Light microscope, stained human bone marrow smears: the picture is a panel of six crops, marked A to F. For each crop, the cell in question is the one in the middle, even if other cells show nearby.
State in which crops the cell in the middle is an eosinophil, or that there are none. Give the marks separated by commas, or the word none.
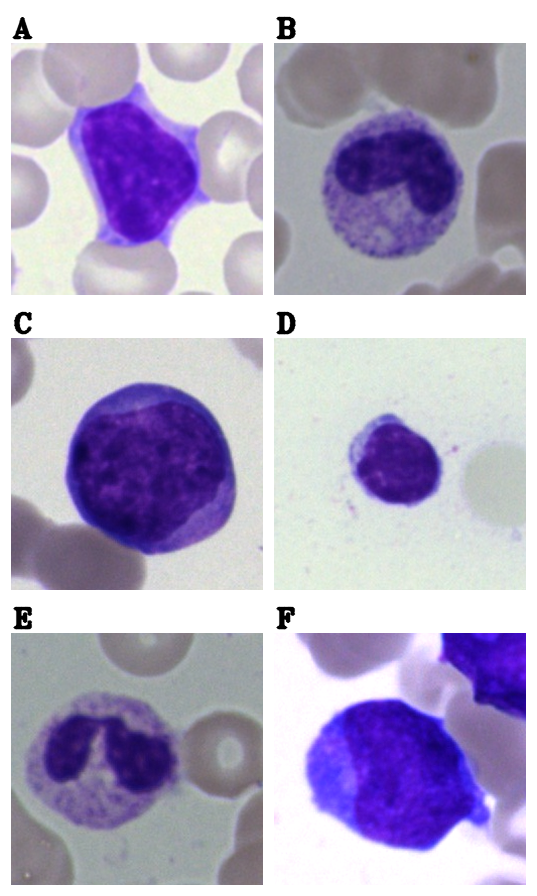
none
